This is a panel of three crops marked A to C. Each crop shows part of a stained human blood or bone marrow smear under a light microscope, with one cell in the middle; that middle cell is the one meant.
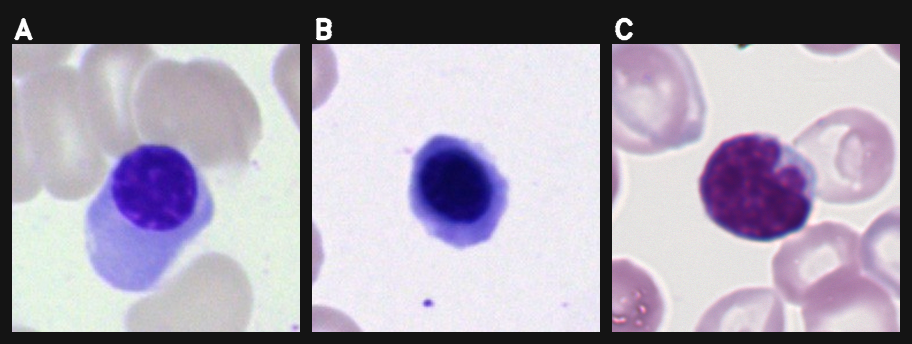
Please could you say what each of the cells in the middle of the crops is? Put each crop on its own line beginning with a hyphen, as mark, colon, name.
- A: normoblast
- B: normoblast
- C: lymphocyte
